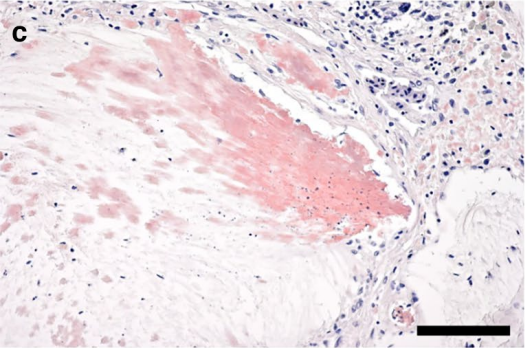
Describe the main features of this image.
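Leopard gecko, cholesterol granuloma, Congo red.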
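The largest deposit forms a wedge with fibrillar streaks, and smaller pink patches are strewn among pale, empty spaces to the left. On the right, connective tissue with many small blue-stained nuclei surrounds the deposit.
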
